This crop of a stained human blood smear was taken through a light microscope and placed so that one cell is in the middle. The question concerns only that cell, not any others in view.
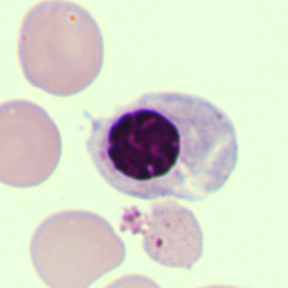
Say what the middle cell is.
erythroblast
